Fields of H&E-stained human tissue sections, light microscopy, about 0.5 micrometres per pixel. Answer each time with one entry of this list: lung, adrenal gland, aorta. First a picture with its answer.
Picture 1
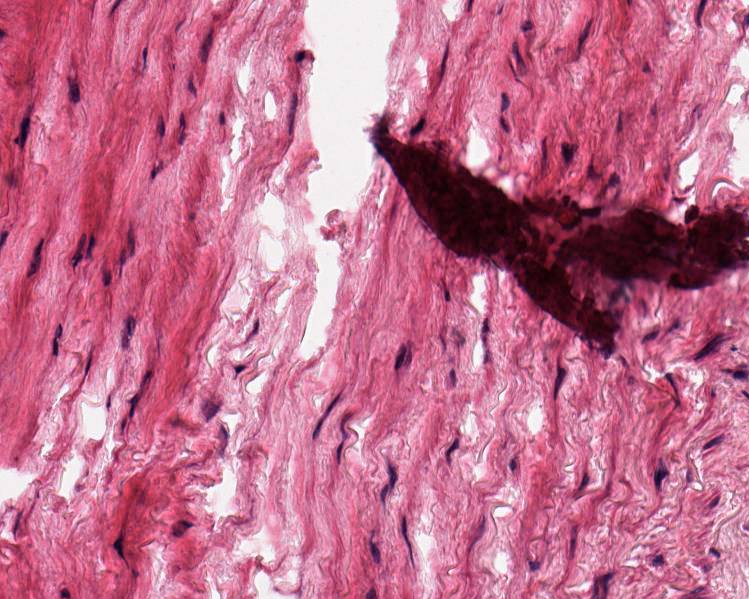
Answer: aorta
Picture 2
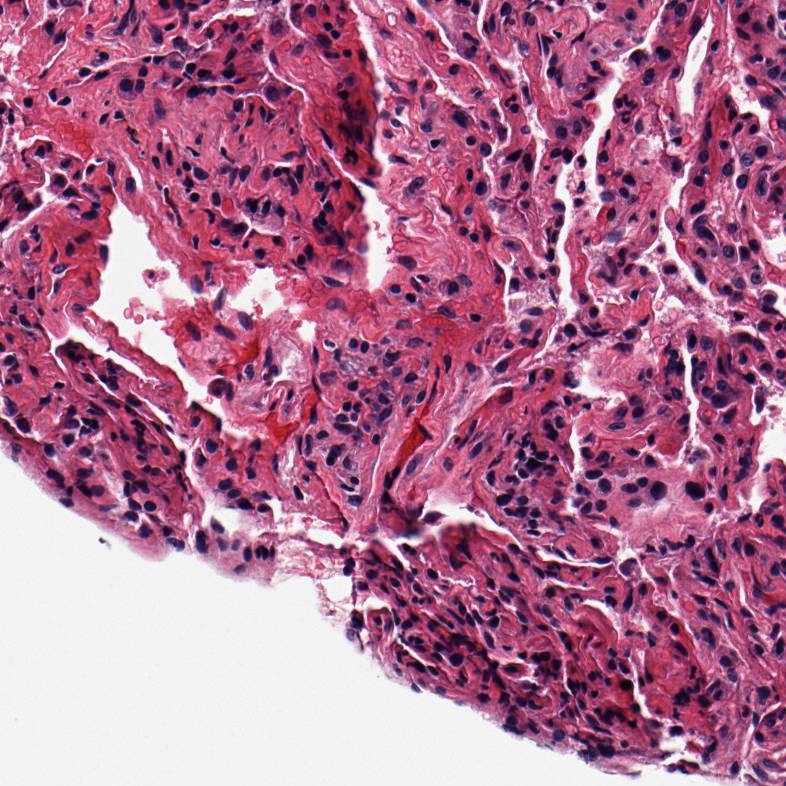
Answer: lung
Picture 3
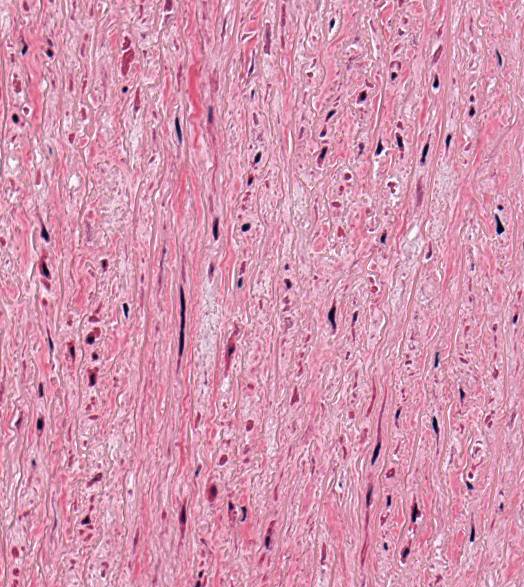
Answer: aorta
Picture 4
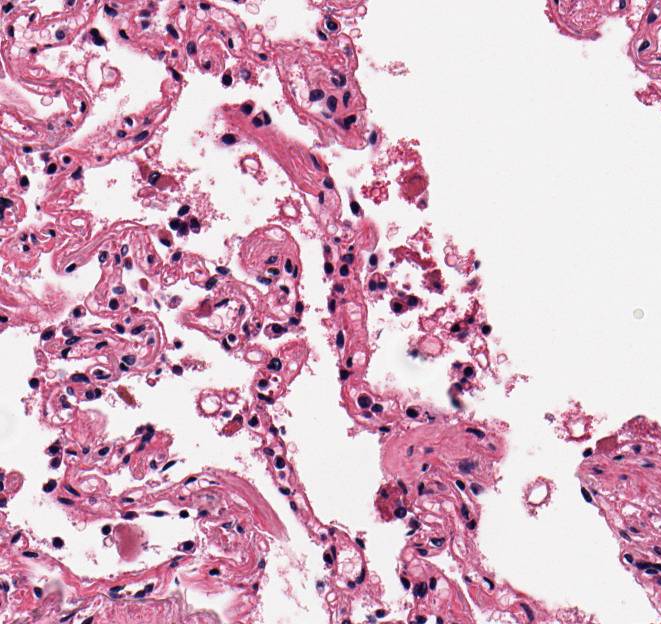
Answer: lung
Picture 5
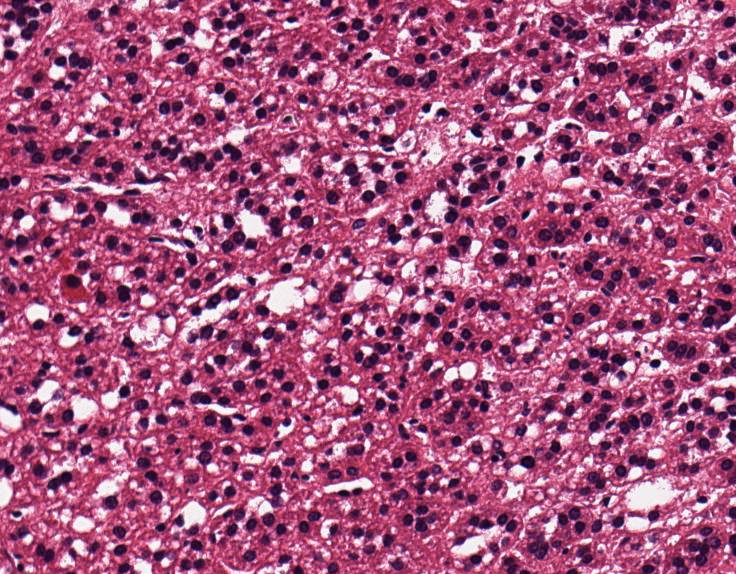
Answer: adrenal gland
